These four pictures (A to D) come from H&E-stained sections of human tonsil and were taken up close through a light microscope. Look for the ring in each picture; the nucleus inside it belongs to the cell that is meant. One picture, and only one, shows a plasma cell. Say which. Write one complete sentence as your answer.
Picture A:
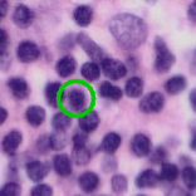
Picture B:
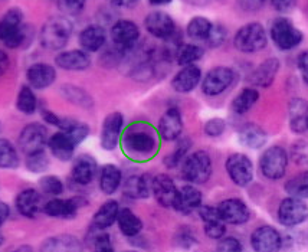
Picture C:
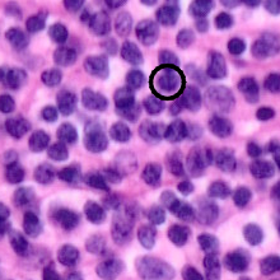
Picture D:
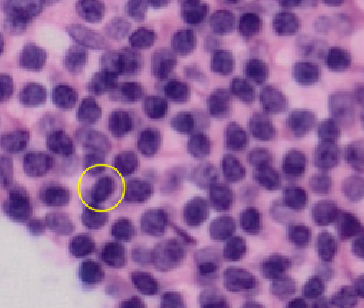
Picture B is the one that shows the plasma cell.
